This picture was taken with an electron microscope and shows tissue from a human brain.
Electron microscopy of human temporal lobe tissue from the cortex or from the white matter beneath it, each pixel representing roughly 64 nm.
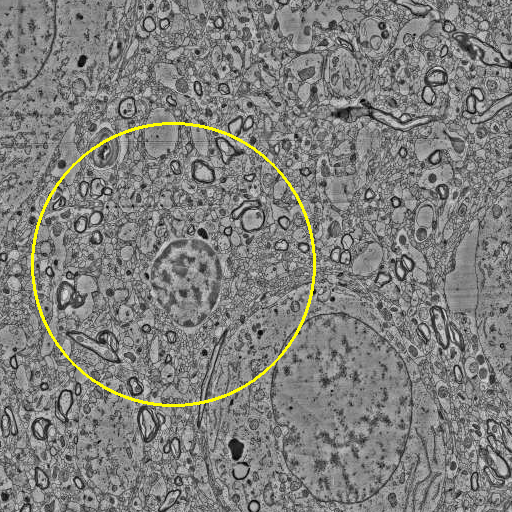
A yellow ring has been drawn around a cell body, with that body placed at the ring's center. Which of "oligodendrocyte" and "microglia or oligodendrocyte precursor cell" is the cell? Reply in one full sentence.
In this picture, a microglial cell or oligodendrocyte precursor cell is the cell at the center of the yellow ring.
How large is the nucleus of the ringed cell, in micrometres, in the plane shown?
Approximately 5 by 4 micrometers in this plane.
